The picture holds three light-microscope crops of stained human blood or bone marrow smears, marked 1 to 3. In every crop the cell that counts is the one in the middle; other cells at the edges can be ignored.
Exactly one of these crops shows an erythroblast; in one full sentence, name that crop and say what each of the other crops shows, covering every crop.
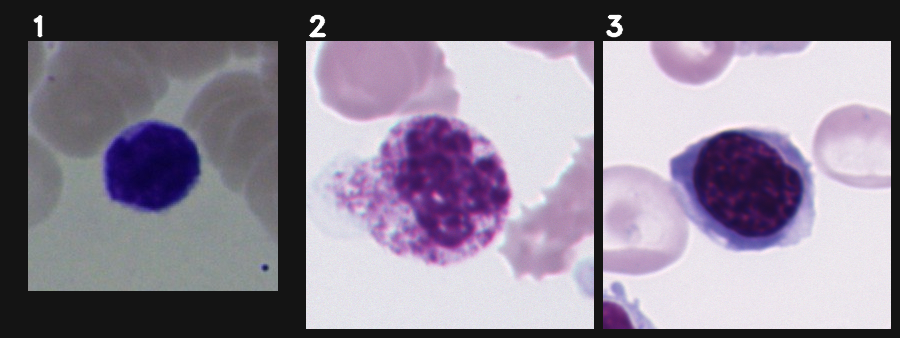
Shown in crop 3 is an erythroblast, whereas crop 1 is a lymphocyte and crop 2 is a segmented neutrophil.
